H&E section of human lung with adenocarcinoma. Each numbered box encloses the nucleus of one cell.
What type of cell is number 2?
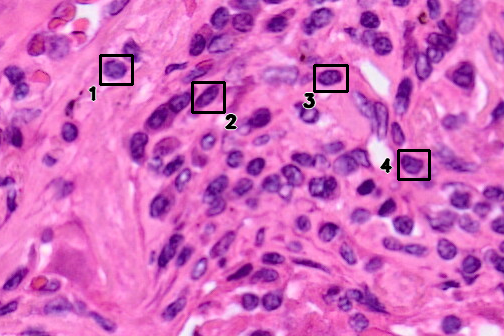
plasma cell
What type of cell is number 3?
lymphocyte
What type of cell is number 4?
lymphocyte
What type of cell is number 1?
lymphocyte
